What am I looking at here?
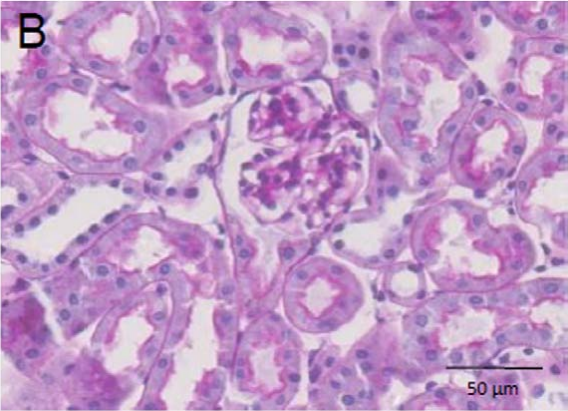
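This section of kidney cortex shows a glomerulus near the centre, ringed by tubules cut across. The glomerular tuft is a compact cluster of capillary loops with clumps of strongly magenta-staining material and dark purple nuclei. A thin capsule surrounds it, with a slim clear space inside. The neighbouring tubules have walls of cuboidal cells with pink cytoplasm and round, dark nuclei. Their lumina are often lined by a magenta layer on the luminal surface, while thin magenta lines trace the outer boundary of each tubule.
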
